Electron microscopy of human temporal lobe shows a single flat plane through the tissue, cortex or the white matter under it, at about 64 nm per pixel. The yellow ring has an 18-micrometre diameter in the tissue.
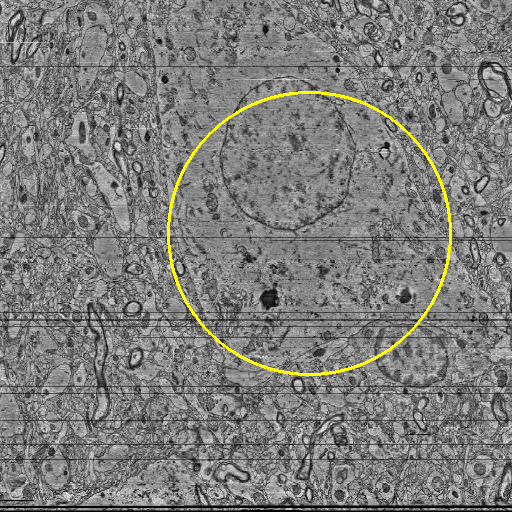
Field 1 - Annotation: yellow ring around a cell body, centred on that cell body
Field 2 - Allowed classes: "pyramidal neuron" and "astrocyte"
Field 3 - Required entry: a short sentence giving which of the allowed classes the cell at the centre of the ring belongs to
The centred cell is a pyramidal neuron.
